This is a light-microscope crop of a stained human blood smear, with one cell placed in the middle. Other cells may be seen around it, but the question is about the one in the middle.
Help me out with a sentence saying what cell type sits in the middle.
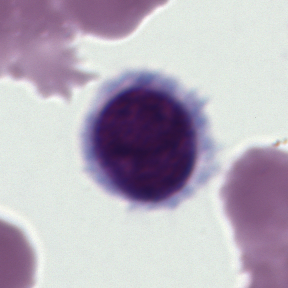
The middle of this crop holds a hairy cell.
